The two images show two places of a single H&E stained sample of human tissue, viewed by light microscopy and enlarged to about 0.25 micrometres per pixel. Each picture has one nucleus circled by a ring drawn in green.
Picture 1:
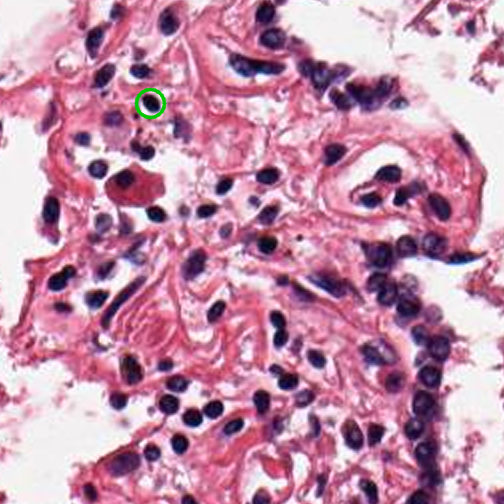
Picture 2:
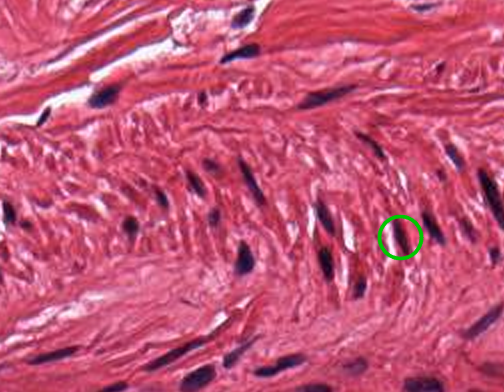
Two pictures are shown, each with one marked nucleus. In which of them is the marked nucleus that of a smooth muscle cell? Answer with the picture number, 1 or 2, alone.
2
